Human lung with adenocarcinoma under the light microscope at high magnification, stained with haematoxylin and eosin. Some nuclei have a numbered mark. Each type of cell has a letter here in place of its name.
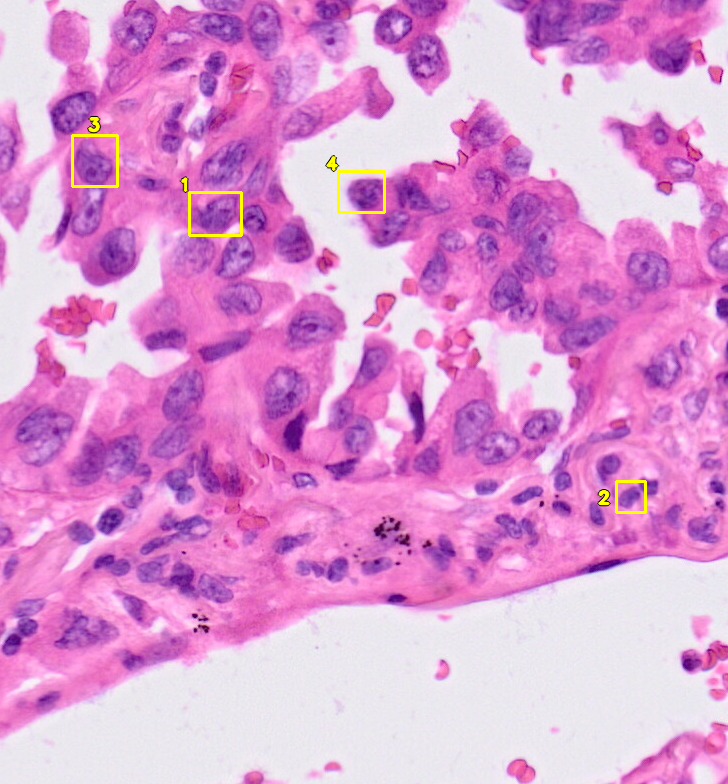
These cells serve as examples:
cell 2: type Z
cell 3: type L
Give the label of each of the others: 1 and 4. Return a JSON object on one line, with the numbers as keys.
{"1": "type L", "4": "type L"}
